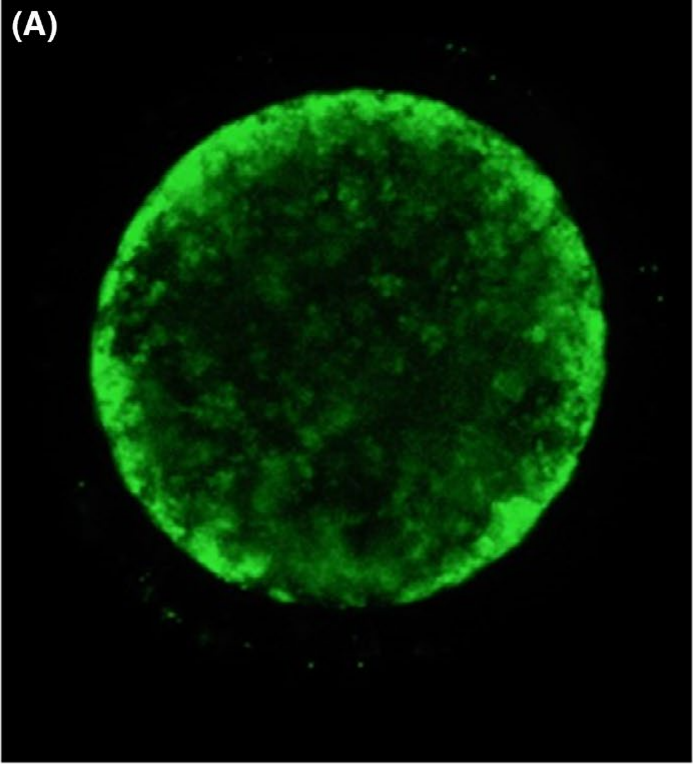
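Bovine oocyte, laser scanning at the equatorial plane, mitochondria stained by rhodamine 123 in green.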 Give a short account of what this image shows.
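A single large, perfectly round cell fills the field against a black background. A bright, thick band of green granular fluorescence runs along the whole circumference just beneath the edge, brightest in patches at the lower and left margins. Inward the green fades into a mottled, much darker central region with only faint, patchy clusters. A few tiny green specks lie scattered outside the cell.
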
